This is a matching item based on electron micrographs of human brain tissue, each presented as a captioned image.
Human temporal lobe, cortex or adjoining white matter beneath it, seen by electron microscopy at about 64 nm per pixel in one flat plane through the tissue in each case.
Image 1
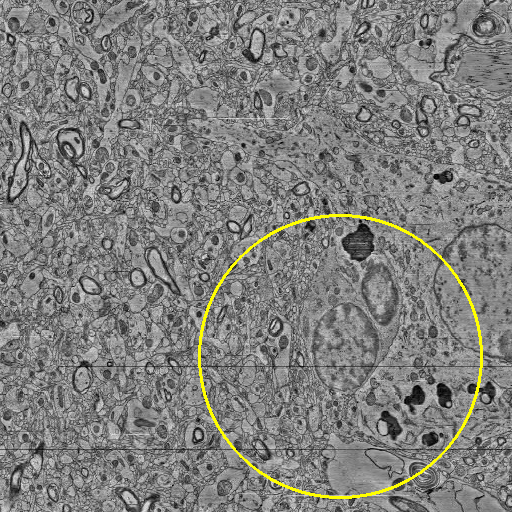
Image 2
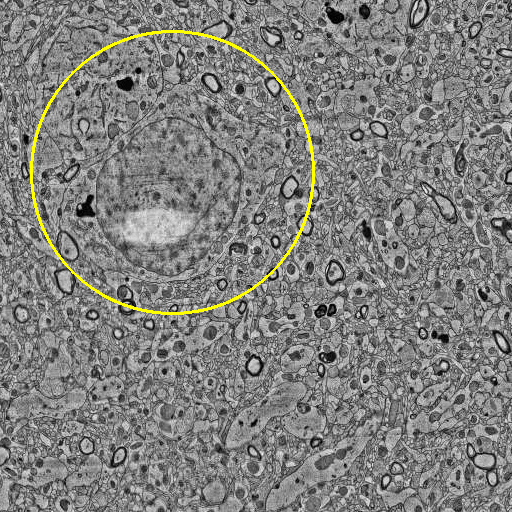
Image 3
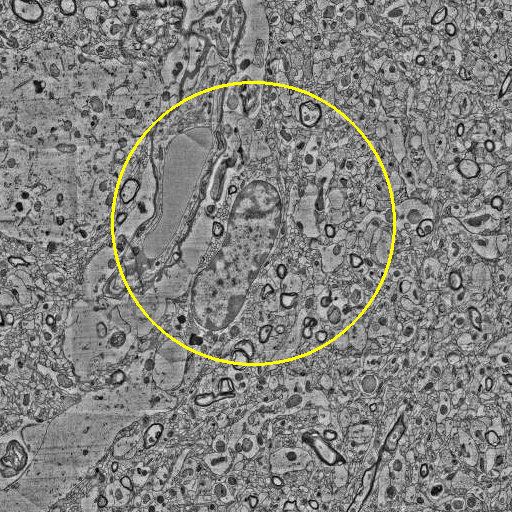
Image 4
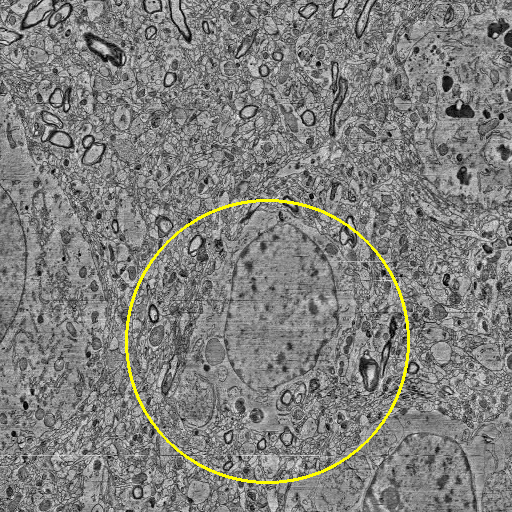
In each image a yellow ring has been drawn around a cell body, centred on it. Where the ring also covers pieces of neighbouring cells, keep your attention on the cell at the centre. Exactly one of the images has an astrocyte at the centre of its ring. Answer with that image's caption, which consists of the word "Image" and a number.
Image 4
